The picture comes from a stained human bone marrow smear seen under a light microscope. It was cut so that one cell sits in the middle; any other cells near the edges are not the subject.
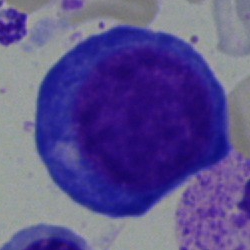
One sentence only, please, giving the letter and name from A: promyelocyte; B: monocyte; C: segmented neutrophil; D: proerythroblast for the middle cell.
Identification: the cell in the middle is a proerythroblast, matching option D.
